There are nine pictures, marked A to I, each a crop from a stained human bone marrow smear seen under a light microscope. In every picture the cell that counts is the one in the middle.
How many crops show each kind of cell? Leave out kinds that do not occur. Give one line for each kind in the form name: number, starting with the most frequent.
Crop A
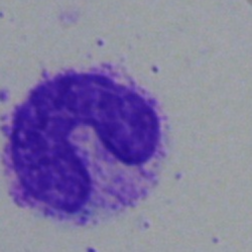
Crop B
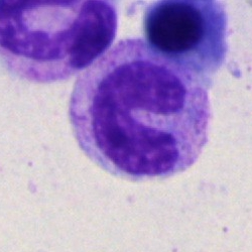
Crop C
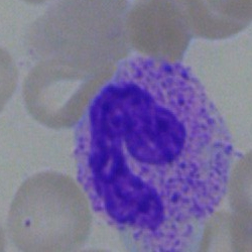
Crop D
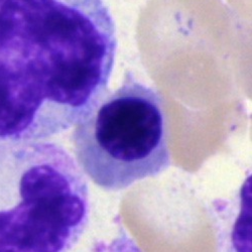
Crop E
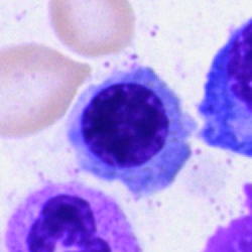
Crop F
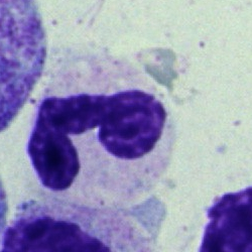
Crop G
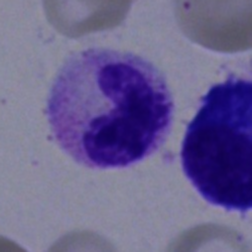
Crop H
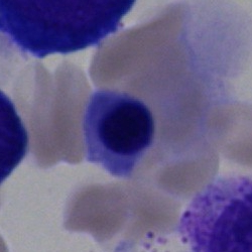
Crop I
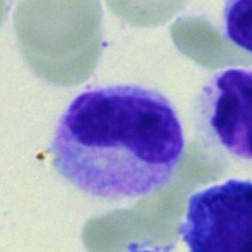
band neutrophil: 6
erythroblast: 3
